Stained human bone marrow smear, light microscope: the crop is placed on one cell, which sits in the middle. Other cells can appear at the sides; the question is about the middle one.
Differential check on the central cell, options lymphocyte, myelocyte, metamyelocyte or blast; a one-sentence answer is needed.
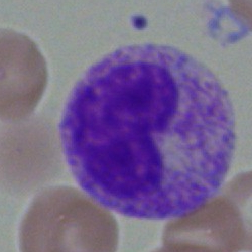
The cell featured at the centre of this crop is a metamyelocyte.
